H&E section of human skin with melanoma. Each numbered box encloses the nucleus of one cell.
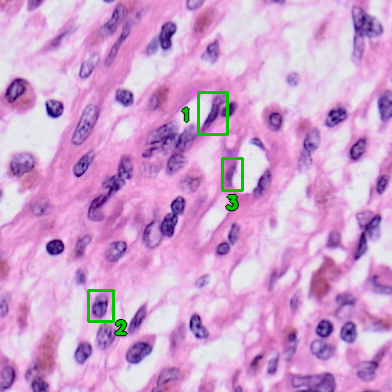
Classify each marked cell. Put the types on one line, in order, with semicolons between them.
endothelial cell; lymphocyte; endothelial cell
